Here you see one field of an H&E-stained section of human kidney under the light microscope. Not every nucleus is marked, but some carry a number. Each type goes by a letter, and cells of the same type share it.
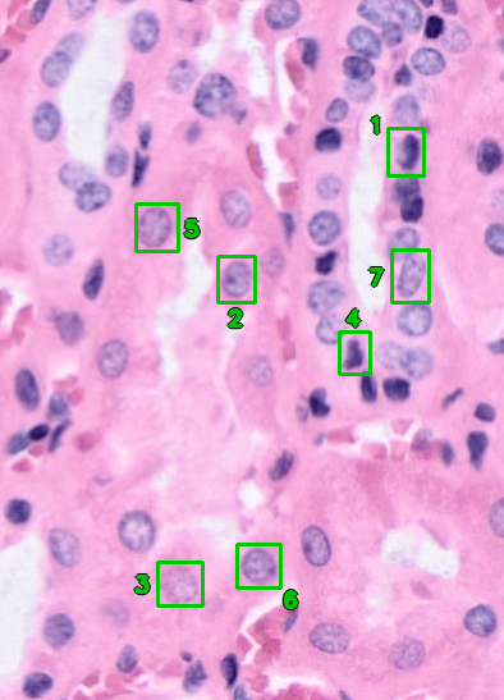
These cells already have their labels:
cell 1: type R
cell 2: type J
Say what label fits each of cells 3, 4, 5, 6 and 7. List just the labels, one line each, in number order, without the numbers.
type J
type R
type J
type J
type R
